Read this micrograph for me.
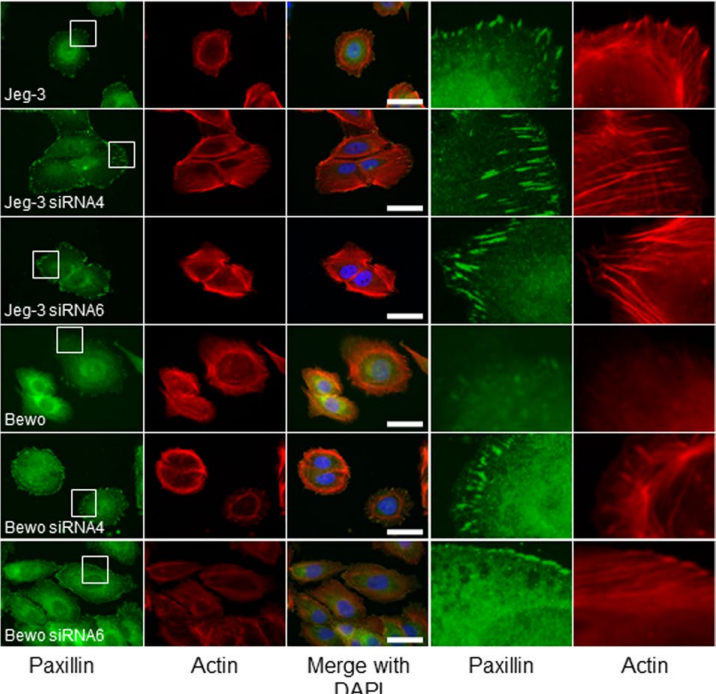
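The cells are flat and polygonal to rounded, often in small groups, with oval blue nuclei centrally placed. Red filaments outline the cell borders and, in many cells, run as straight bundles across the cytoplasm toward the edges. The green label is diffuse in the cytoplasm but gathers into short elongated streaks at the cell periphery, where the red bundles end; in some rows these streaks are numerous and sharp, in others the edge shows only faint, diffuse green.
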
